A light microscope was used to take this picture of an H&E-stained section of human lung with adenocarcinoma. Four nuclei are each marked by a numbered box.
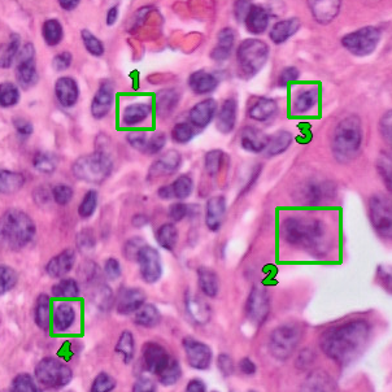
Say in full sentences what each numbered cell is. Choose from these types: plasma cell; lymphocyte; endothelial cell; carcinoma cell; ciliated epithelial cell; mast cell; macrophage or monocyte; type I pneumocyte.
Cells 1, 3 and 4 are lymphocytes. Cell 2 is a carcinoma cell.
